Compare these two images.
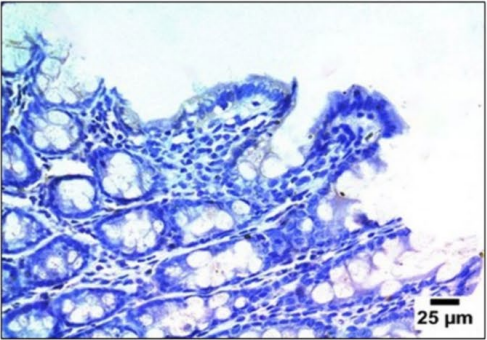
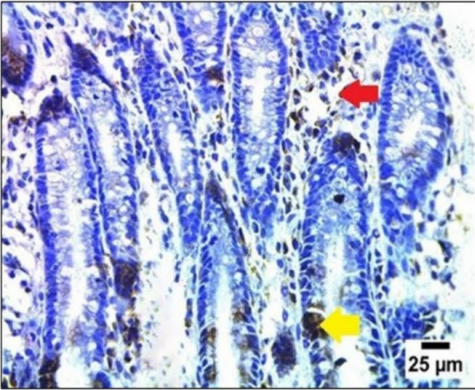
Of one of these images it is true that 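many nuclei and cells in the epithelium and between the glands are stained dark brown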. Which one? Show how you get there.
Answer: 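The second image. First image: the tissue is blue throughout with almost no brown. Second image: dark brown patches in the gland walls and brown nuclei scattered between the glands.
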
